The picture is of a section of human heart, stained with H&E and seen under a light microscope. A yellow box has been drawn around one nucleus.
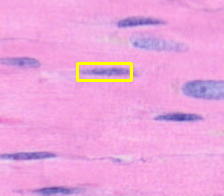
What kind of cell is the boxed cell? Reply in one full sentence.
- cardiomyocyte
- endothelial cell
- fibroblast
The classification of the boxed cell is as a fibroblast.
